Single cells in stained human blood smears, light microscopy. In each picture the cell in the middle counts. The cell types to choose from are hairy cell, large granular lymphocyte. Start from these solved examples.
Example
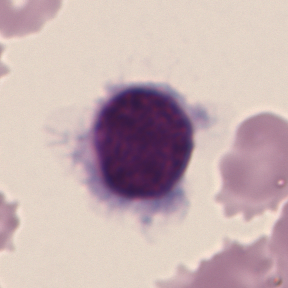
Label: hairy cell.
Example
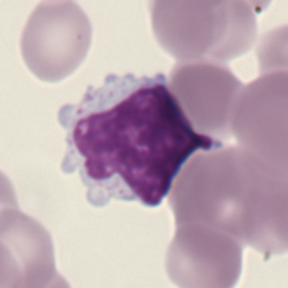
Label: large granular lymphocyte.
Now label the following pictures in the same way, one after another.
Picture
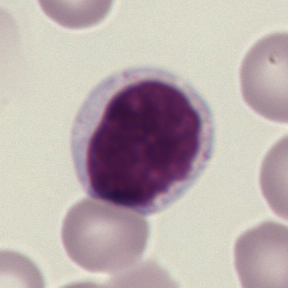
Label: large granular lymphocyte.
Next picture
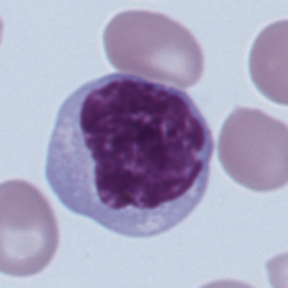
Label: large granular lymphocyte.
